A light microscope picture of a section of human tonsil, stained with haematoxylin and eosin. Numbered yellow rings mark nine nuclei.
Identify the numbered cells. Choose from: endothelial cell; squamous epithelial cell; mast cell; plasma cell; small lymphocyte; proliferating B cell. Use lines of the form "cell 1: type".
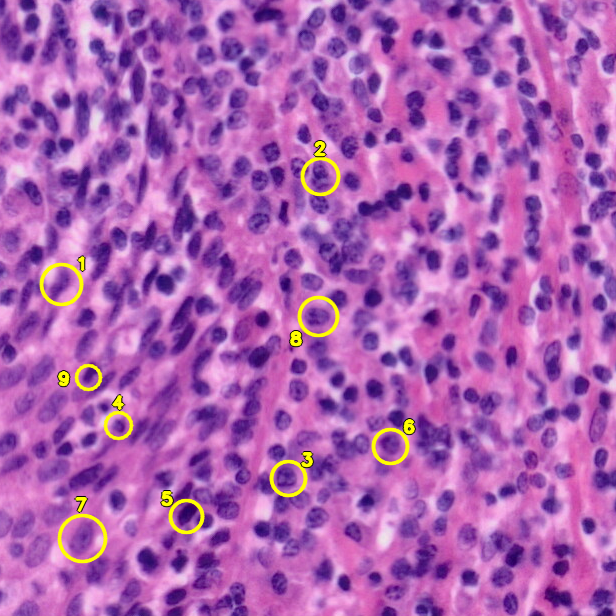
cell 1: squamous epithelial cell
cell 2: plasma cell
cell 3: plasma cell
cell 4: squamous epithelial cell
cell 5: squamous epithelial cell
cell 6: plasma cell
cell 7: squamous epithelial cell
cell 8: plasma cell
cell 9: squamous epithelial cell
